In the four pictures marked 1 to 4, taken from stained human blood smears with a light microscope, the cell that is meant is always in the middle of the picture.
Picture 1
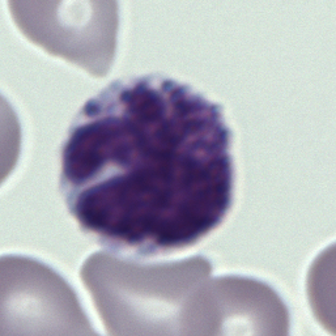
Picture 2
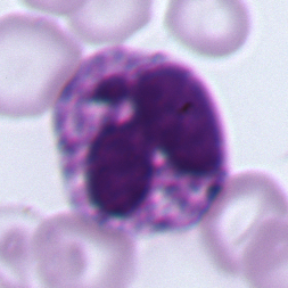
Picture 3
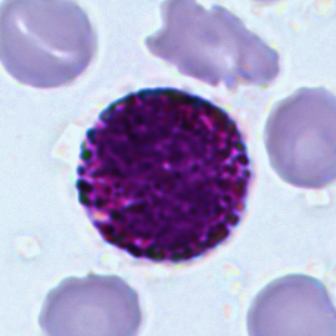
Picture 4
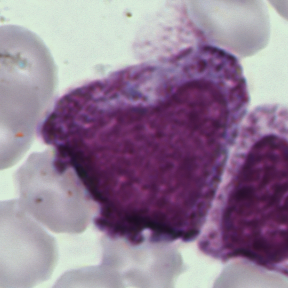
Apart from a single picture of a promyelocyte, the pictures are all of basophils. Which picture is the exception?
4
